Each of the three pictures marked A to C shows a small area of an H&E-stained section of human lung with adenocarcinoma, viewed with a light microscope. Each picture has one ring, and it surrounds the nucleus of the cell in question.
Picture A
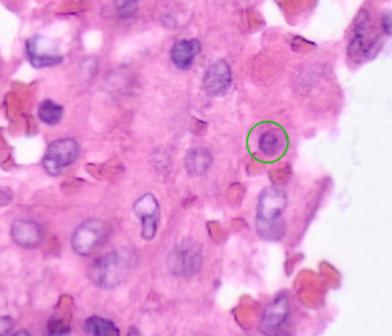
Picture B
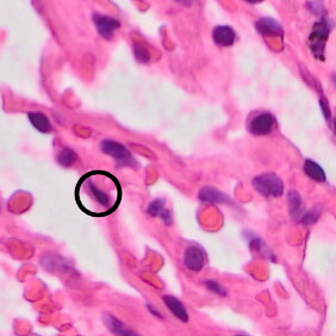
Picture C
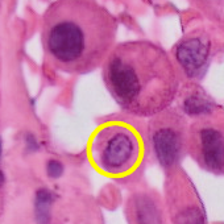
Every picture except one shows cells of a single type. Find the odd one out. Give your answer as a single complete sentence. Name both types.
Unlike the rest, which show “macrophages or monocytes”, picture B shows an endothelial cell.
